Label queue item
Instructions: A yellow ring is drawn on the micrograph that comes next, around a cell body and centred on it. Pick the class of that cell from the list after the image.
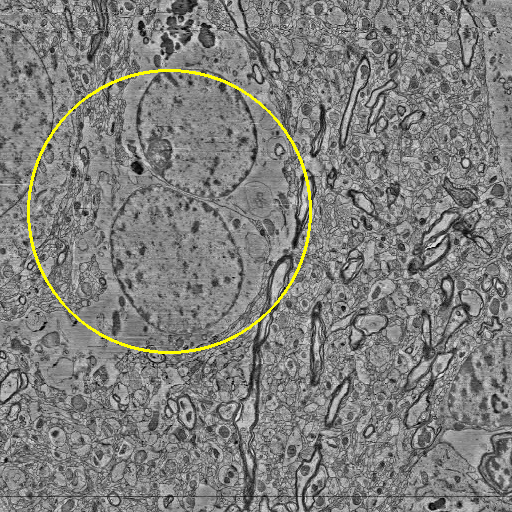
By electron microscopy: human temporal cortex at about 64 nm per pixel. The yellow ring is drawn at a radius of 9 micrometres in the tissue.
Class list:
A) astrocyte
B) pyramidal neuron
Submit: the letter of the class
A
